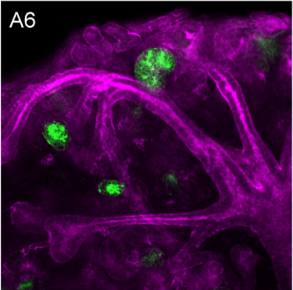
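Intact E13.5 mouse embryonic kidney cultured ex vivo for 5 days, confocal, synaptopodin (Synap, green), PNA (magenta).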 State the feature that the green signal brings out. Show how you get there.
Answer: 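Green signal fills compact round bodies. The round bodies are scattered between magenta-outlined branching tubules. The answer: Developing glomeruli.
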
